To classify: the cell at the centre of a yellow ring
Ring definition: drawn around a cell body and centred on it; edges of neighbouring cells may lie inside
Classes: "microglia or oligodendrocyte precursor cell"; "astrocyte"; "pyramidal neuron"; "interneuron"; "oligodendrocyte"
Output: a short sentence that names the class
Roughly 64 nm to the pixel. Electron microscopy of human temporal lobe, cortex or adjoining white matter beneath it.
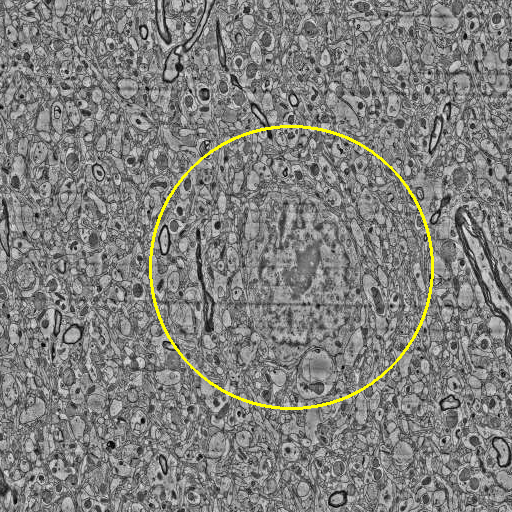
The ringed cell is an interneuron.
